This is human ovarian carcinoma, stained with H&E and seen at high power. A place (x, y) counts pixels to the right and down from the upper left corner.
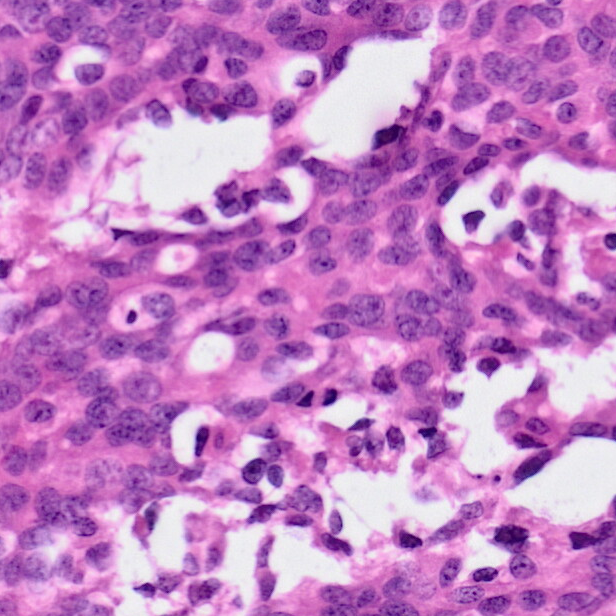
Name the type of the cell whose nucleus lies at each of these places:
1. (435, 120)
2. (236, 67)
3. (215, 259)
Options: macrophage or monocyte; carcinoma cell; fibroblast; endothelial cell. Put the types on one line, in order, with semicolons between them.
macrophage or monocyte; macrophage or monocyte; carcinoma cell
